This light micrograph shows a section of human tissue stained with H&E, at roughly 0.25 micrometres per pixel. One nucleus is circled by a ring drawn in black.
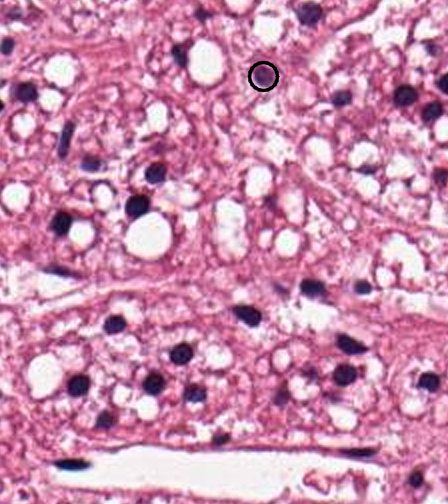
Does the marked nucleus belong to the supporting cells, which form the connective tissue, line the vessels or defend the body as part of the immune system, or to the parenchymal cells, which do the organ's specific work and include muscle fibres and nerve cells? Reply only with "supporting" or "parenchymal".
parenchymal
